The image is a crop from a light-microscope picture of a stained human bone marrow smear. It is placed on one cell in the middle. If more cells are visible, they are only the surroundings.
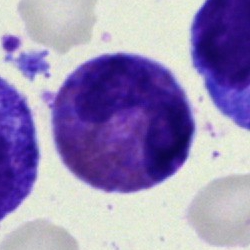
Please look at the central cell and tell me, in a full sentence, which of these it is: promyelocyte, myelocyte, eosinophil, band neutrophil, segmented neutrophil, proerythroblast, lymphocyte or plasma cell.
Standing at the centre of this crop is an eosinophil.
